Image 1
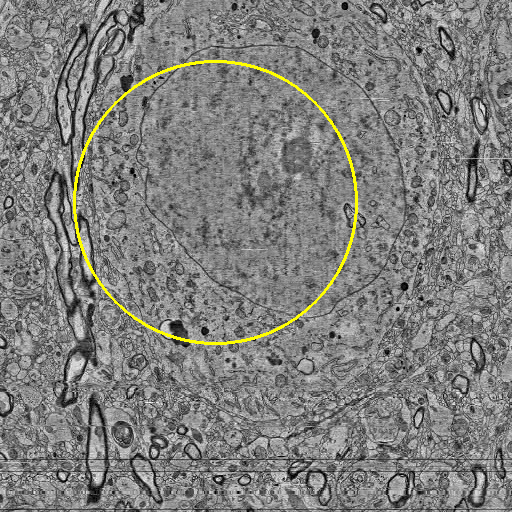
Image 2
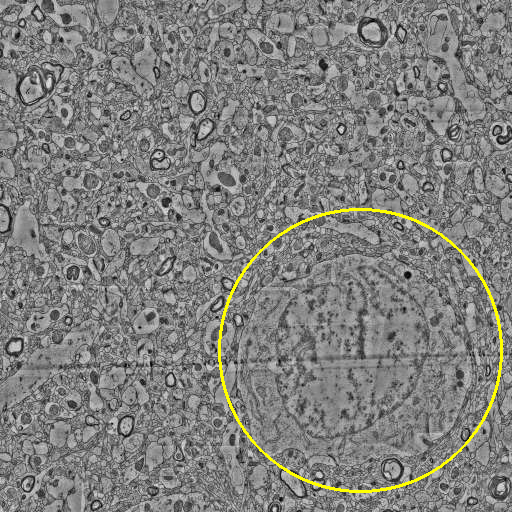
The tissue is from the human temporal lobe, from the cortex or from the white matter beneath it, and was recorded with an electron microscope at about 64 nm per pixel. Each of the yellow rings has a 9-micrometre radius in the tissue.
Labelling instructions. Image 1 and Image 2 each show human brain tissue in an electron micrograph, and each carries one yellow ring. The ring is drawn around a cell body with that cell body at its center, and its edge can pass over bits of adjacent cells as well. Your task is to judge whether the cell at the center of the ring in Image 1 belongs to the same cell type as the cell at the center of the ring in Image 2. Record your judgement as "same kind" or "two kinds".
two kinds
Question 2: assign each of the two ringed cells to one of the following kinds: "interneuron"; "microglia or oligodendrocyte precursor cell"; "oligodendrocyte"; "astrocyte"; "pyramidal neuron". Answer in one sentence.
The two cells are a pyramidal neuron in the first picture and an interneuron in the second.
